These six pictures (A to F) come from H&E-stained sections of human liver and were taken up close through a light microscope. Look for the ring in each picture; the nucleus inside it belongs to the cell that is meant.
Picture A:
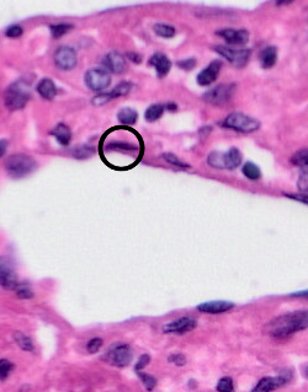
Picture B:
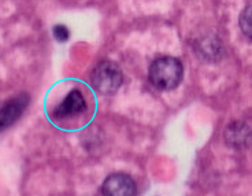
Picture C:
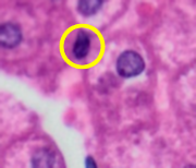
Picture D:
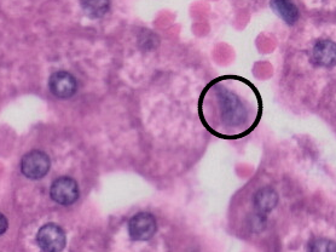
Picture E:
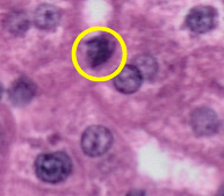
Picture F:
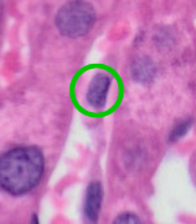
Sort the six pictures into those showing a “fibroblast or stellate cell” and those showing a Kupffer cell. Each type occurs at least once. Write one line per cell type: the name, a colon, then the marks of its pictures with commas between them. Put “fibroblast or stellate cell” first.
fibroblast or stellate cell: A, B, C, E
Kupffer cell: D, F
